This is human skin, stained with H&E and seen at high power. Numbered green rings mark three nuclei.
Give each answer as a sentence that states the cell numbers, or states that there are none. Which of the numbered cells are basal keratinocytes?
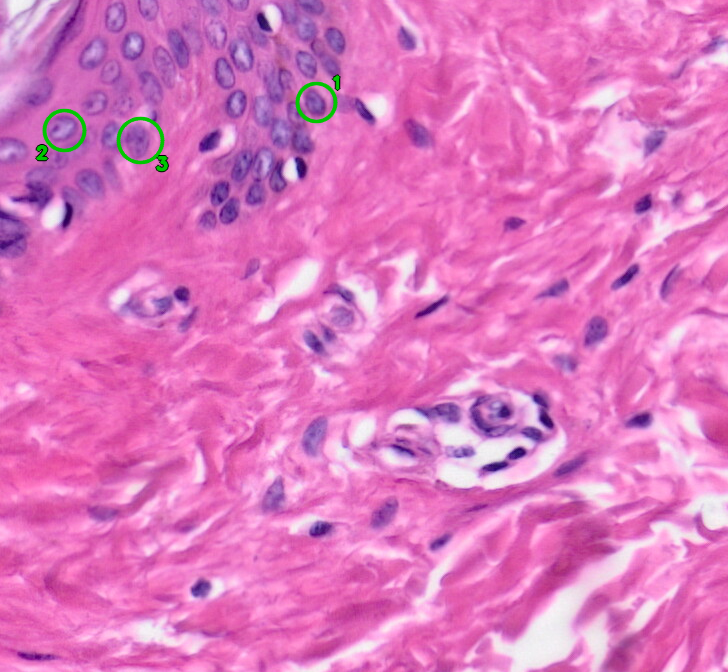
The cells tagged 1 and 3 are basal keratinocytes in this tissue section.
